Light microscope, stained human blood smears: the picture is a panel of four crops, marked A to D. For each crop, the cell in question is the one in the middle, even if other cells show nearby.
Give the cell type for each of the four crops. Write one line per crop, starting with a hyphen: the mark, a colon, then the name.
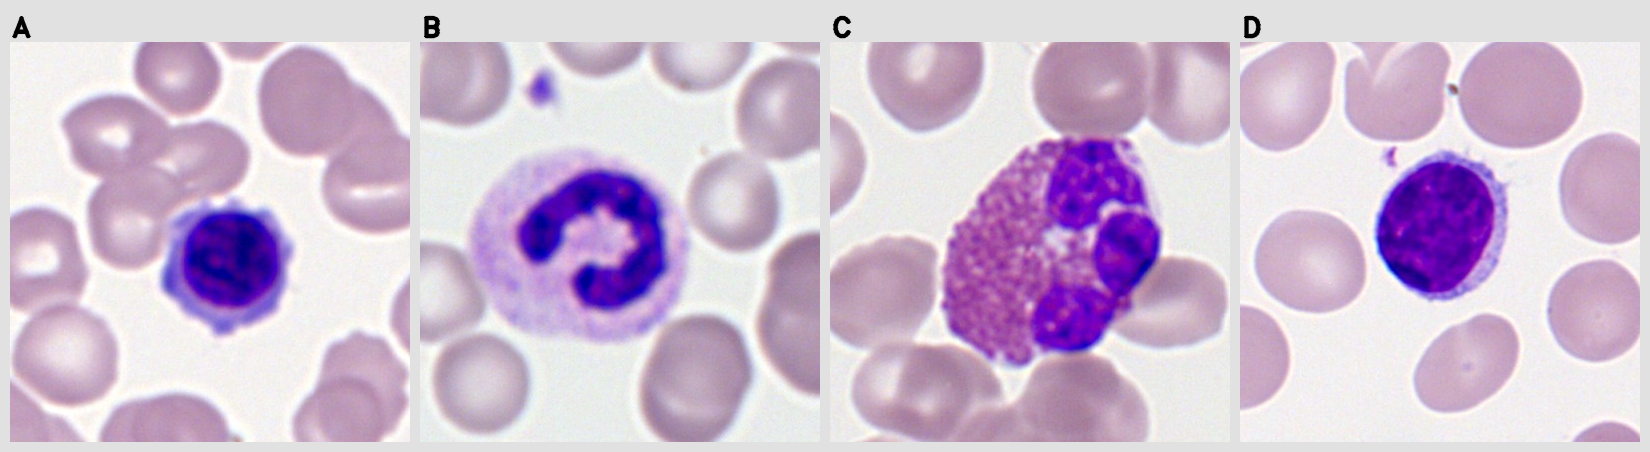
- A: normoblast
- B: band neutrophil
- C: eosinophil
- D: lymphocyte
